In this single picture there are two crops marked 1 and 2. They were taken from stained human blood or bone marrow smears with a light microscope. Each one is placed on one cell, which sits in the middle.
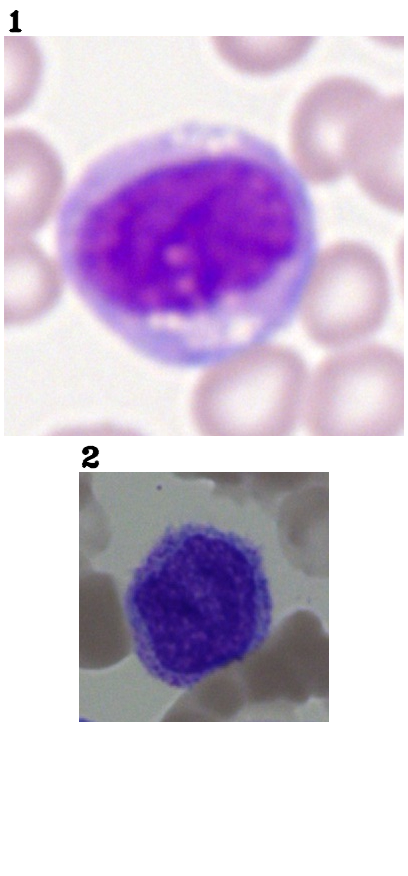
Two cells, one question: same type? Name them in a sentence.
Yes, the reply for both crops is monocytes.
